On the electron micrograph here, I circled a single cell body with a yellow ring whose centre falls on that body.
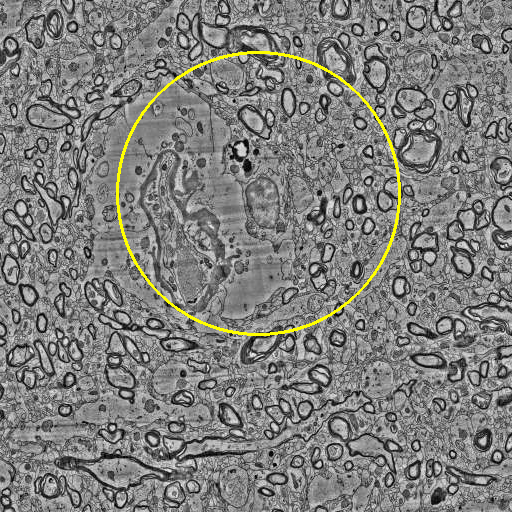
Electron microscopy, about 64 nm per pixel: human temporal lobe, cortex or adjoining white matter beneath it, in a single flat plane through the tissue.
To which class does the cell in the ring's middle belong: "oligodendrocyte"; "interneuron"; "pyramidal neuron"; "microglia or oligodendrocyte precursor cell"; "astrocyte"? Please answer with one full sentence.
In this picture, the cell body circled at the ring's centre belongs to an oligodendrocyte.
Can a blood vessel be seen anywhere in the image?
Yes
